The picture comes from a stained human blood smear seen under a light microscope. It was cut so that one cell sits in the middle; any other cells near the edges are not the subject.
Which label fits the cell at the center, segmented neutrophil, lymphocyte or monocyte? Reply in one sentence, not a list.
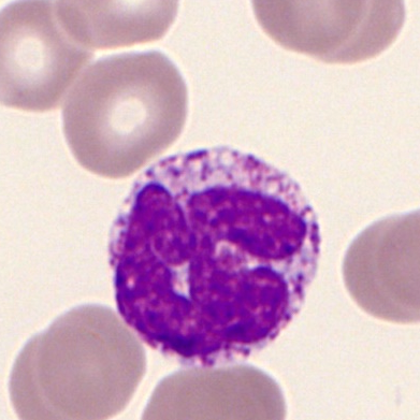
The cell under consideration, at the middle of the crop, is a monocyte.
